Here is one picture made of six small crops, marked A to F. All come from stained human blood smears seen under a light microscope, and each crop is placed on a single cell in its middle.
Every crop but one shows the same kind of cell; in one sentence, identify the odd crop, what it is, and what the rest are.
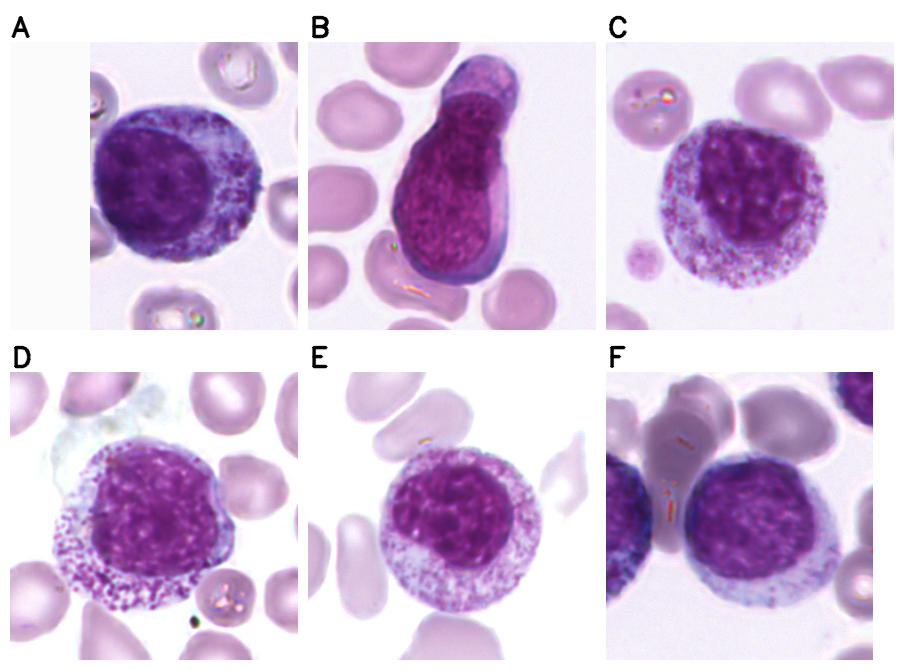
The rest of the crops show myelocytes; crop B is the one showing an atypical promyelocyte.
